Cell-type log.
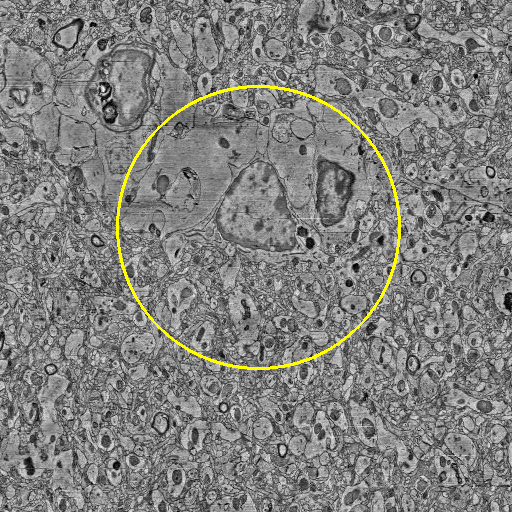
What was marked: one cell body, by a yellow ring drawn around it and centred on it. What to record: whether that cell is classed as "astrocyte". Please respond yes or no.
No, the cell belongs to another class.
